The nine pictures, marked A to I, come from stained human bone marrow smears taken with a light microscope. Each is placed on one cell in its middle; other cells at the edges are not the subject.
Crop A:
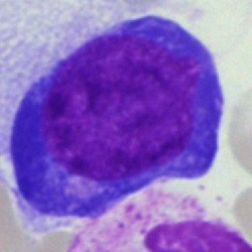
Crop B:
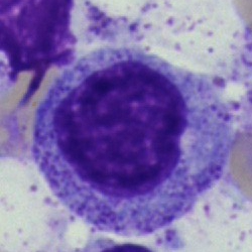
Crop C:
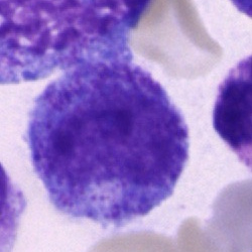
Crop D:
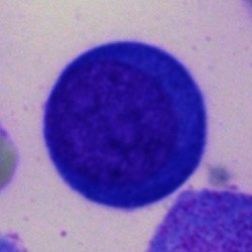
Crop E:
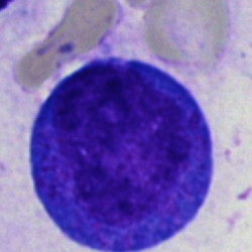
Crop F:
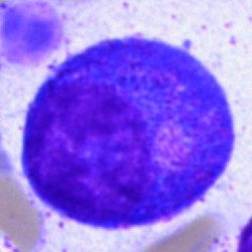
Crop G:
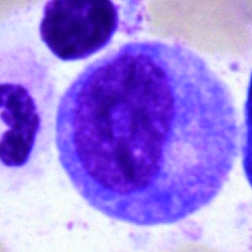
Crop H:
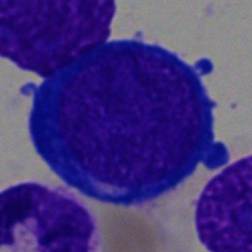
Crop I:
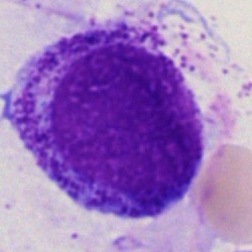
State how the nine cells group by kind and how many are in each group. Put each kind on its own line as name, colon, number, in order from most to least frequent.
promyelocyte: 6
proerythroblast: 3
